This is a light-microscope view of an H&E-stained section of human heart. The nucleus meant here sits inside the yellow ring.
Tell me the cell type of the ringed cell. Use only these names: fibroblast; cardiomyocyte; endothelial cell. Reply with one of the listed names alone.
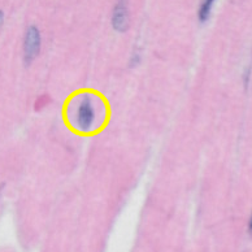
endothelial cell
